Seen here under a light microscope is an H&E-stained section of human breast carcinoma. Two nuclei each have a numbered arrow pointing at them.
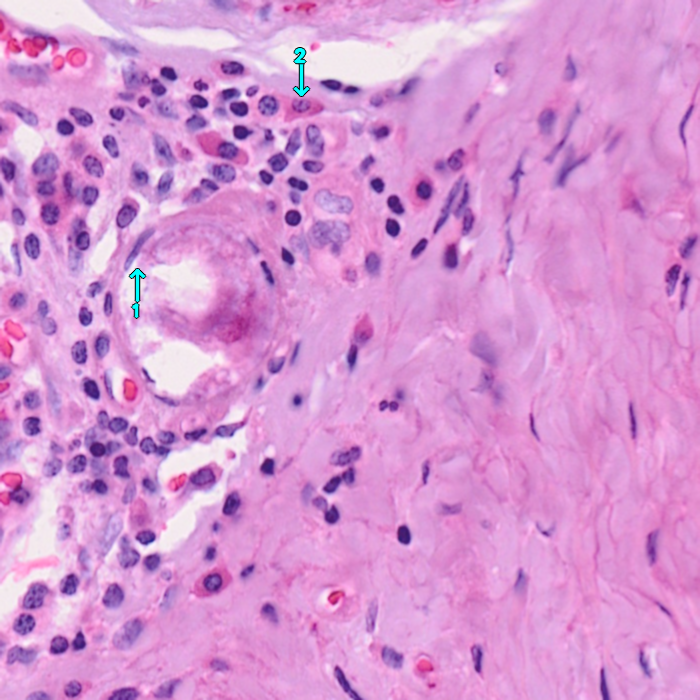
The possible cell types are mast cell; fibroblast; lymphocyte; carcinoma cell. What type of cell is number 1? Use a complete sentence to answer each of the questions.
Cell 1 is classified as a fibroblast.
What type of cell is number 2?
The correct label for cell 2 is a mast cell.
